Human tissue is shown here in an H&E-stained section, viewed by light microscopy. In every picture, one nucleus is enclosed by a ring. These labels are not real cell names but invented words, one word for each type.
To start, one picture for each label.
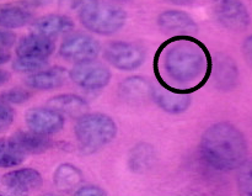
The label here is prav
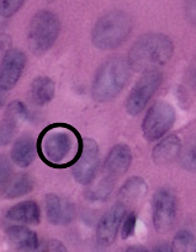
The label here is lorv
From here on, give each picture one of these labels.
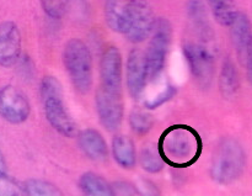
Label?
lorv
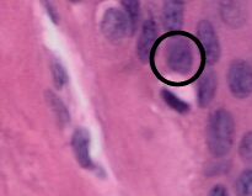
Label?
lorv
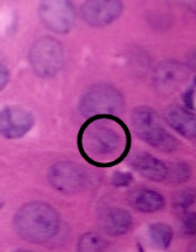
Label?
prav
